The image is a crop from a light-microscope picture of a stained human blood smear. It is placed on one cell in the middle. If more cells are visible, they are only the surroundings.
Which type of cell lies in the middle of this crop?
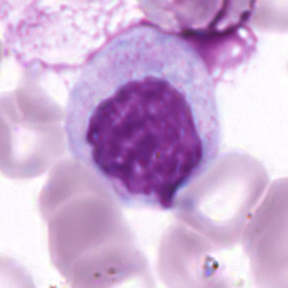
myelocyte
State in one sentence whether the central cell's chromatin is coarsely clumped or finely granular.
The chromatin of this one is coarsely clumped.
